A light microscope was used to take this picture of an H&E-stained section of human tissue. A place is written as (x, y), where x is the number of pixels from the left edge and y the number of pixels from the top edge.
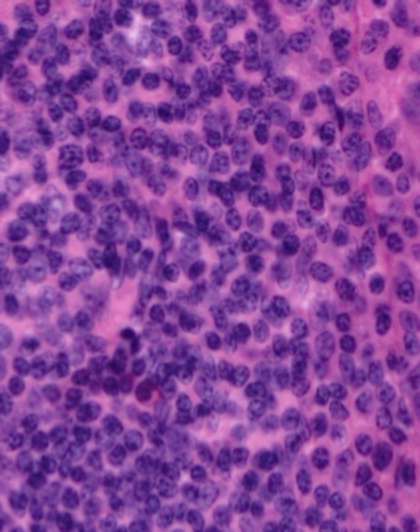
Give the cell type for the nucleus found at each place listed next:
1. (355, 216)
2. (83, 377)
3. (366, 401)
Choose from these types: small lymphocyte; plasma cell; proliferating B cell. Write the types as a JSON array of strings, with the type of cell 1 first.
["plasma cell", "small lymphocyte", "plasma cell"]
